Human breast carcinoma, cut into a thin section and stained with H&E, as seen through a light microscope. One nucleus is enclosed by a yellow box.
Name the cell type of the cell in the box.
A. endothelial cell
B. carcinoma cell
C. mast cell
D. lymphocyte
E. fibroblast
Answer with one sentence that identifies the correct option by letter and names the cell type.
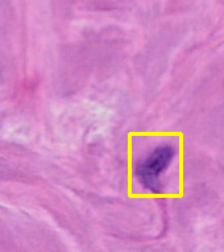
Option E describes the cell in the box accurately as a fibroblast.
